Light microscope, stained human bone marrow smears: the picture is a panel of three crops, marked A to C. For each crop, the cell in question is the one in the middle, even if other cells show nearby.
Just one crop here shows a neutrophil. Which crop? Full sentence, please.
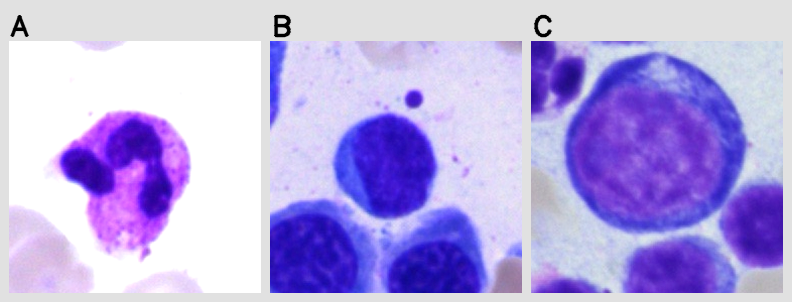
The crop with a neutrophil at its center is crop A.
